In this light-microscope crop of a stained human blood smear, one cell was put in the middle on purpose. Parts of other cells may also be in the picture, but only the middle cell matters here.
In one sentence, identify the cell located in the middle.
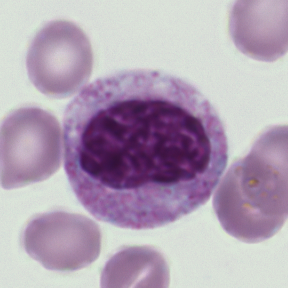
The cell in the middle of the field of view is a metamyelocyte.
